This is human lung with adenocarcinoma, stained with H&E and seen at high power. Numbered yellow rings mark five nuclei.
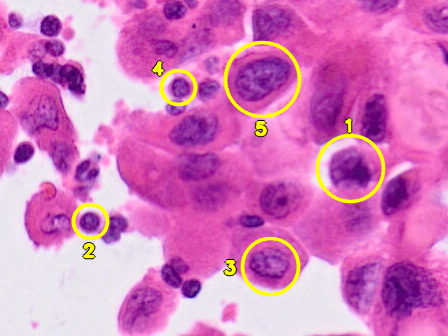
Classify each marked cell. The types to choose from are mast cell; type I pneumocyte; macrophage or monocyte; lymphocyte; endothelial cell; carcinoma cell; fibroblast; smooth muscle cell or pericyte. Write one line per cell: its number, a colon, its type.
1: carcinoma cell
2: lymphocyte
3: carcinoma cell
4: lymphocyte
5: carcinoma cell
